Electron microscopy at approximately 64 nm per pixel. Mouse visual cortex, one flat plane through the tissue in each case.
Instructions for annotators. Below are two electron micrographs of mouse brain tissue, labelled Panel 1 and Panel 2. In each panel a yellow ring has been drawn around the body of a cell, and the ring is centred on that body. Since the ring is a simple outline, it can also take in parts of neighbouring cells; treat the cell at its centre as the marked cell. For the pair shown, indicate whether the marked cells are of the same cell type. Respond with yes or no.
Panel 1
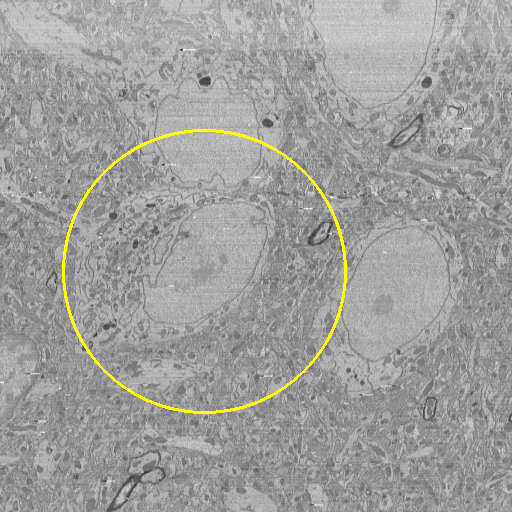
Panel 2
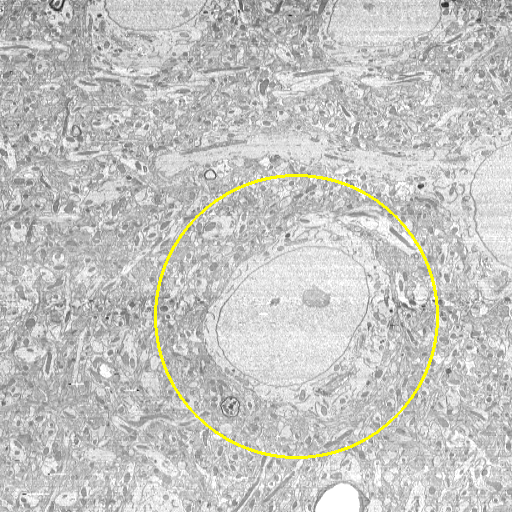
no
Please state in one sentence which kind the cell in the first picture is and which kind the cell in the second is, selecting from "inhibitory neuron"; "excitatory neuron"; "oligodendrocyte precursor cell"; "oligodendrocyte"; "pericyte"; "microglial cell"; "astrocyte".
The first ringed cell is an inhibitory neuron, the second ringed cell an excitatory neuron.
